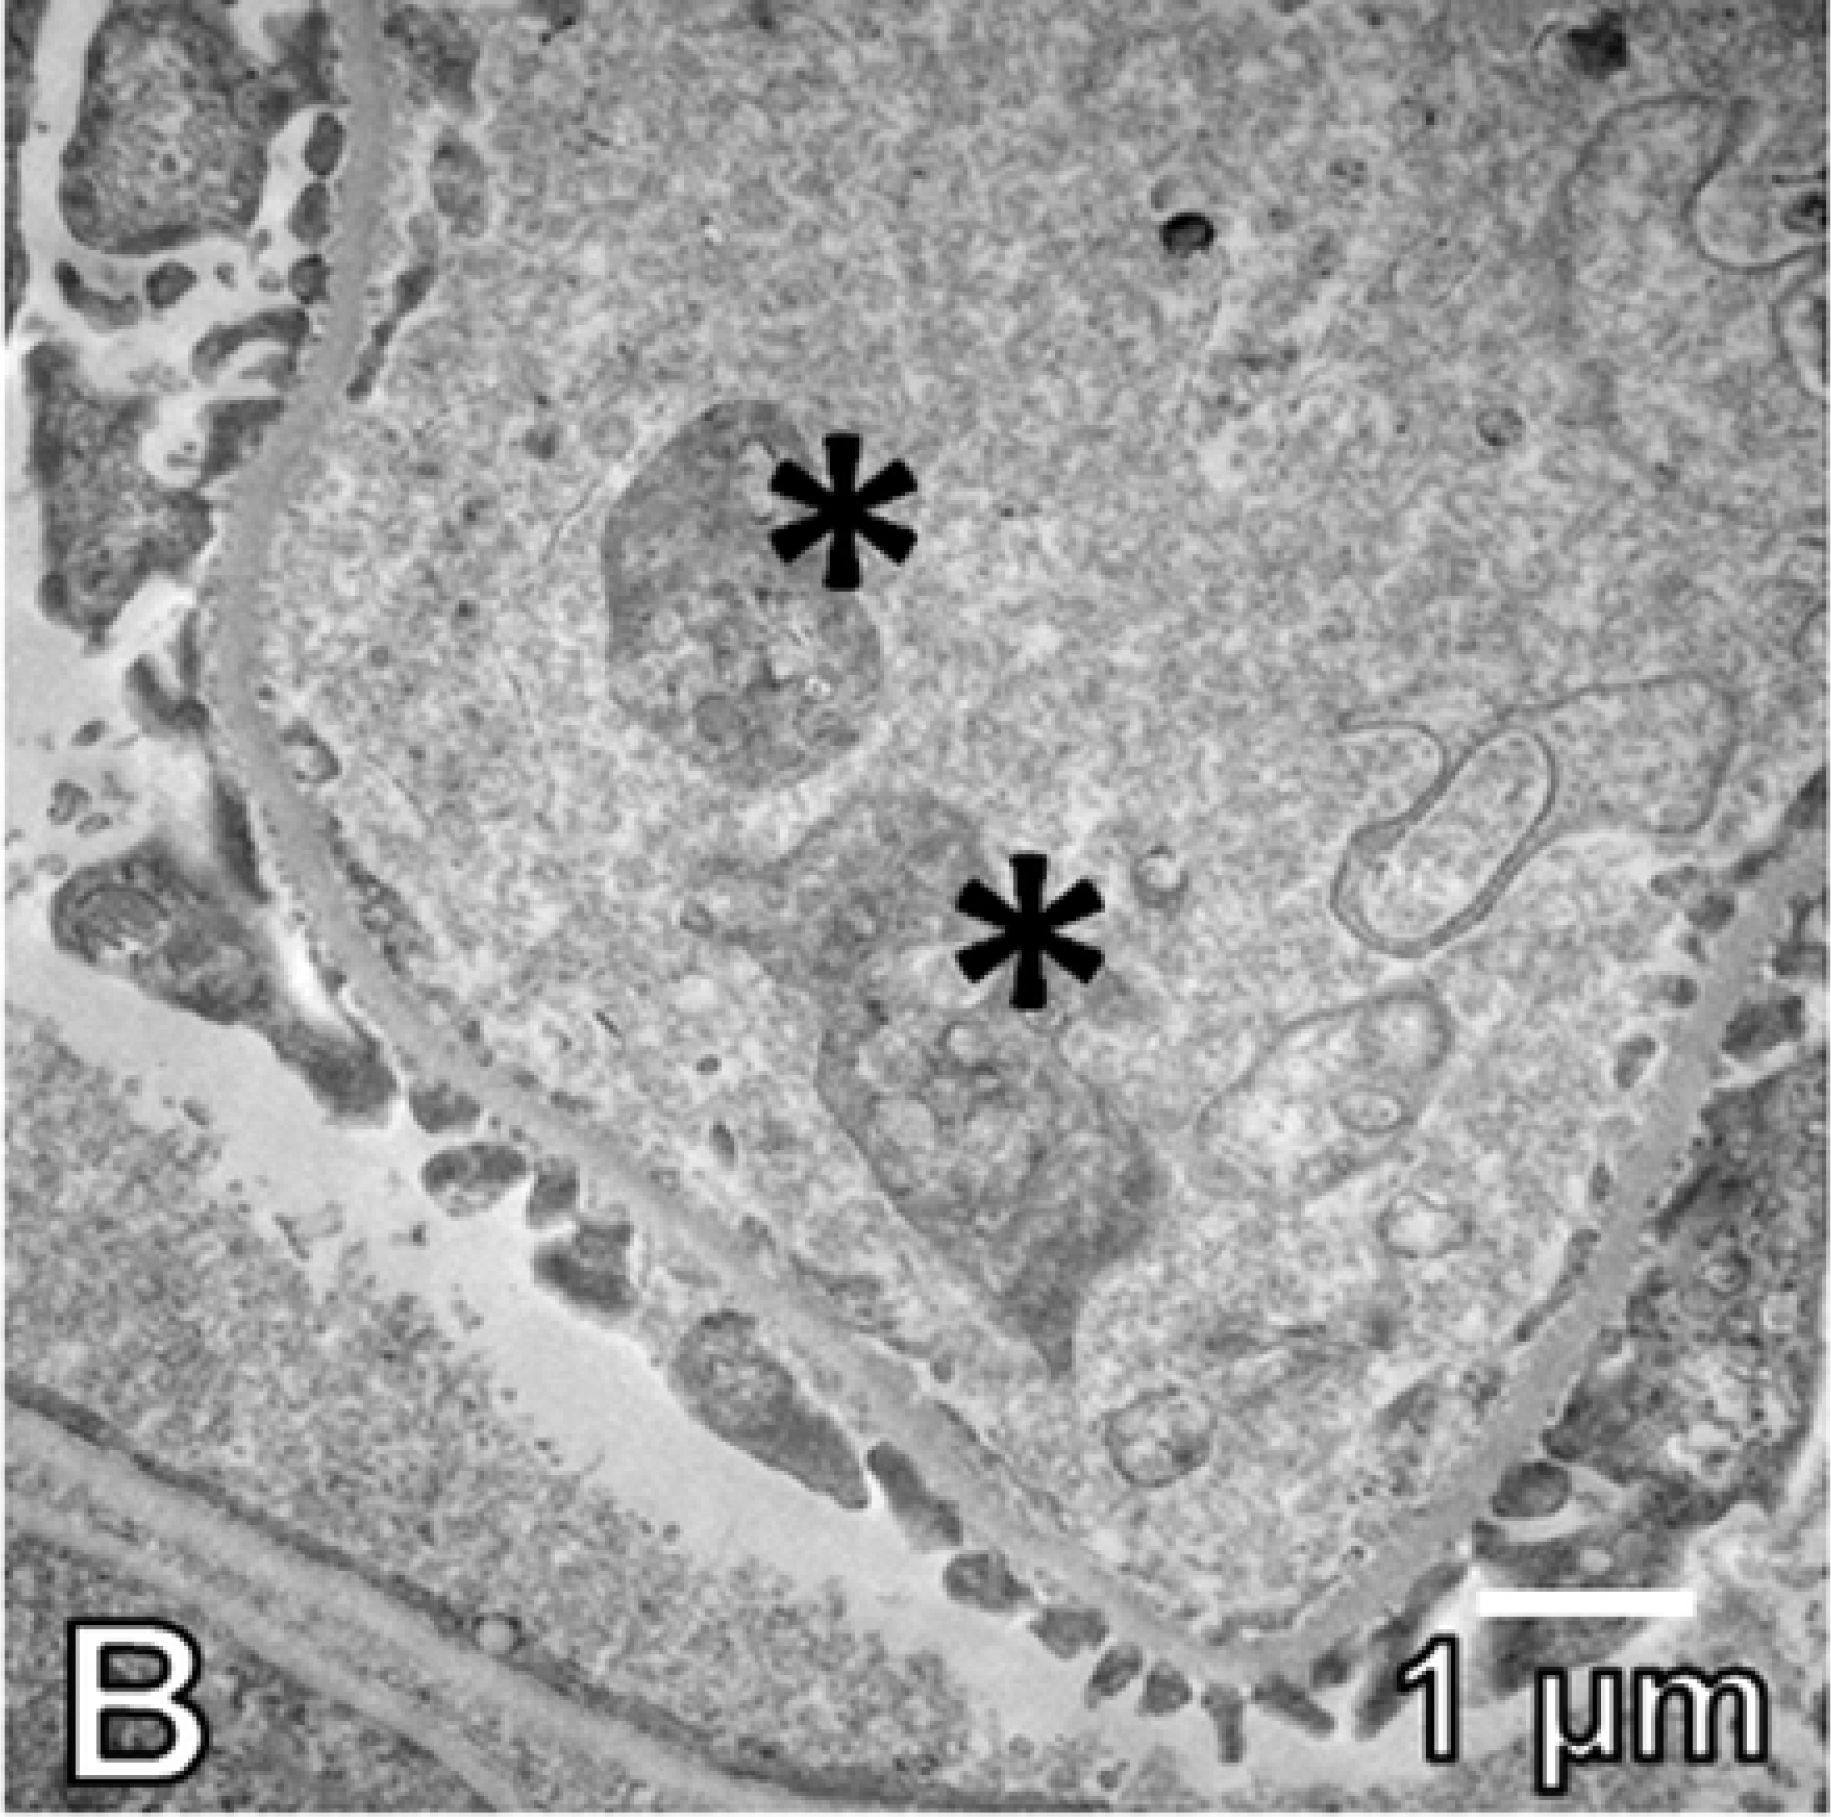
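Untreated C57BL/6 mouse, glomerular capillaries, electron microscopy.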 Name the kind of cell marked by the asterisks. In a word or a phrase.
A: Platelets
